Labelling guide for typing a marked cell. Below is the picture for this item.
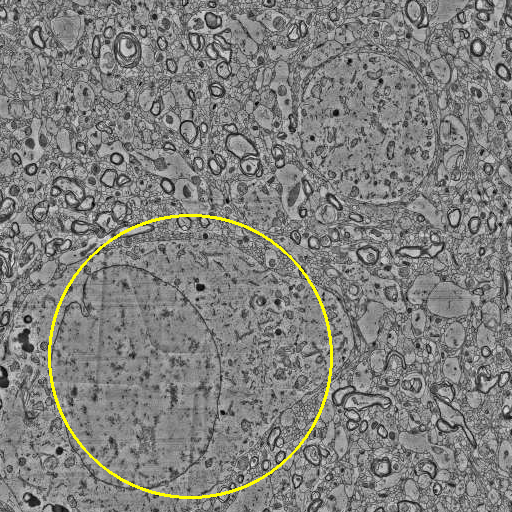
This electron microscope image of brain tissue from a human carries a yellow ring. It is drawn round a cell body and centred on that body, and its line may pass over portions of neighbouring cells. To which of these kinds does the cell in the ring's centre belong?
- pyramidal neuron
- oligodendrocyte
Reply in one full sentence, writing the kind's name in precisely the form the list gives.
Here we have a pyramidal neuron at the centre of the yellow ring in the picture.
